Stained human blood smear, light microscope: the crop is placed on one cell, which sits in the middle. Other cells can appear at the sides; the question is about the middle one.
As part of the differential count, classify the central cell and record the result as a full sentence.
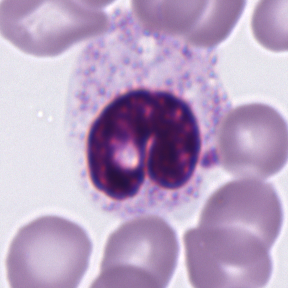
The central cell, amid any neighbouring cells, is a band neutrophil.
